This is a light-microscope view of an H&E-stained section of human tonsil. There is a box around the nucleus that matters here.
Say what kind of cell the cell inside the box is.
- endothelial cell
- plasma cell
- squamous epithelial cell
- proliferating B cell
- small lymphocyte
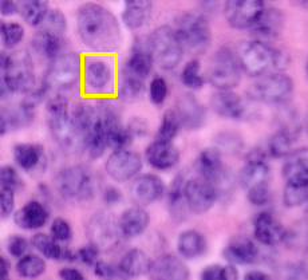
proliferating B cell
